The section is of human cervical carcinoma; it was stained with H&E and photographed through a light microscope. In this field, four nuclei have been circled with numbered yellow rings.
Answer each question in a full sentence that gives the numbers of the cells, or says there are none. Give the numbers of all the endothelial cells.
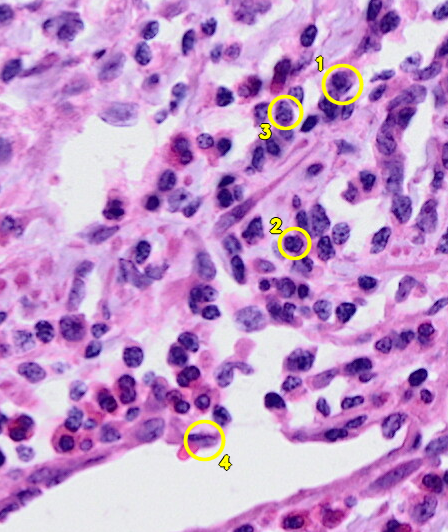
Of the marked cells, the one numbered 4 is an endothelial cell and the rest are not.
